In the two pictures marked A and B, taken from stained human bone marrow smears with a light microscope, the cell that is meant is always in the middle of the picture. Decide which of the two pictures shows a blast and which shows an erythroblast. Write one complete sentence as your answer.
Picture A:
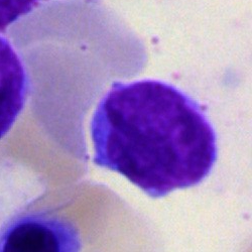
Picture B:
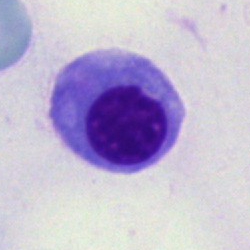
Picture B shows an erythroblast, while picture A shows a blast.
